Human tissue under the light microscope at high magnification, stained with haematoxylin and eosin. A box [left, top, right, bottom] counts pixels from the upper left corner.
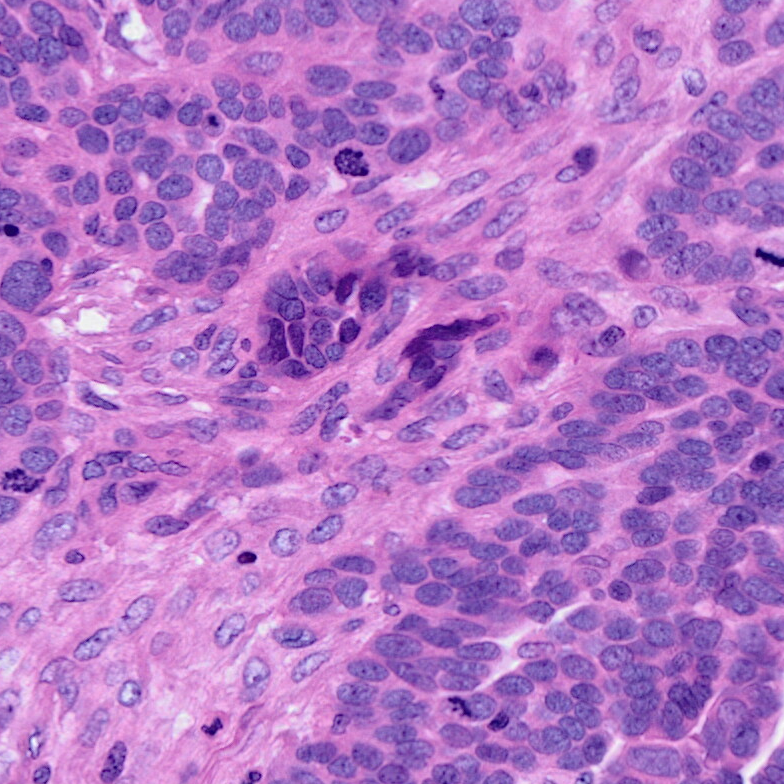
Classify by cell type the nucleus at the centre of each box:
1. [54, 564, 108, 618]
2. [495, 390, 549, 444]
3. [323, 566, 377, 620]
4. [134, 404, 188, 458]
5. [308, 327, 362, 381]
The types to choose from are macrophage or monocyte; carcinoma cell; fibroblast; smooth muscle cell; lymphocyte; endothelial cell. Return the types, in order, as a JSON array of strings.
["fibroblast", "fibroblast", "carcinoma cell", "fibroblast", "carcinoma cell"]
